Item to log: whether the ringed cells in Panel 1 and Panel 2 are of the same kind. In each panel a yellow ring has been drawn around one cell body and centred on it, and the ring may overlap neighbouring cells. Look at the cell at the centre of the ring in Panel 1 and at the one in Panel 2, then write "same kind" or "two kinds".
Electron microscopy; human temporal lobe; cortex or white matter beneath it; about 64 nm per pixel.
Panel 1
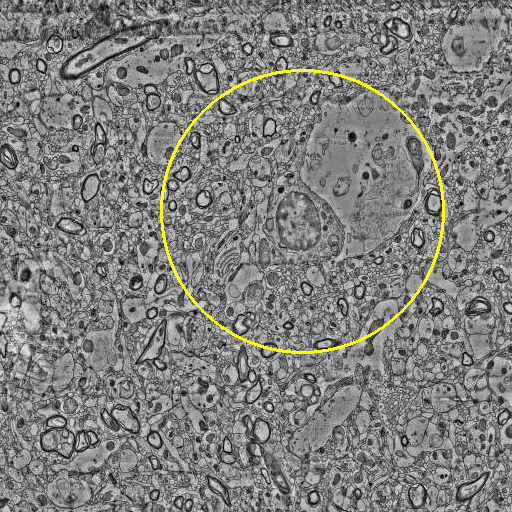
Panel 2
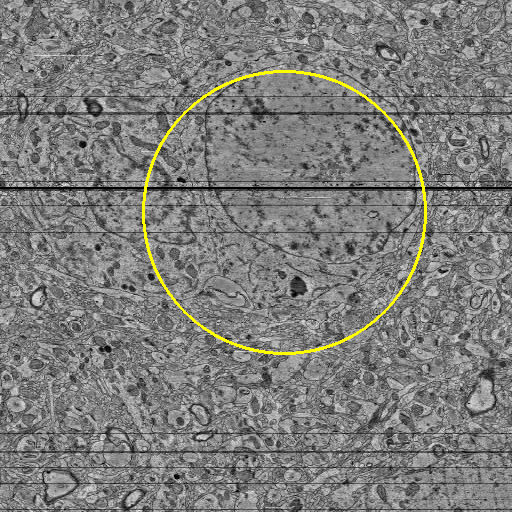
two kinds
